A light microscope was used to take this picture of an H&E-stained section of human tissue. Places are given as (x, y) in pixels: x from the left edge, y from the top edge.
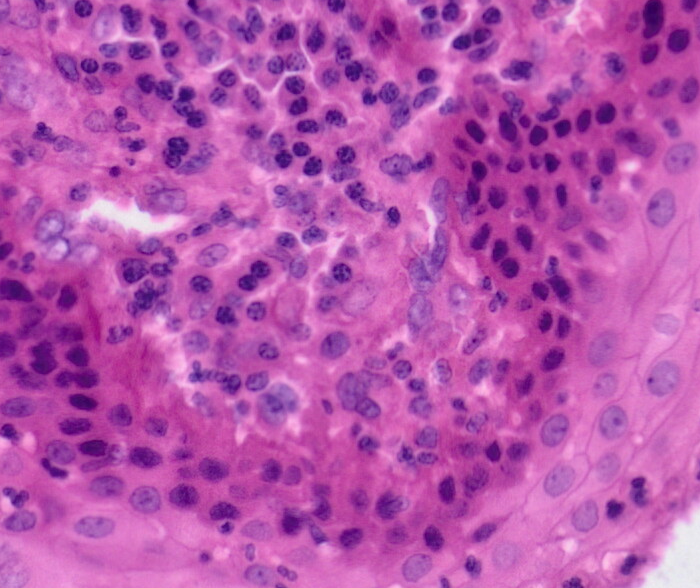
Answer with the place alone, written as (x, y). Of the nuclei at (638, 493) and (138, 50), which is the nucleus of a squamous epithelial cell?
(638, 493)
